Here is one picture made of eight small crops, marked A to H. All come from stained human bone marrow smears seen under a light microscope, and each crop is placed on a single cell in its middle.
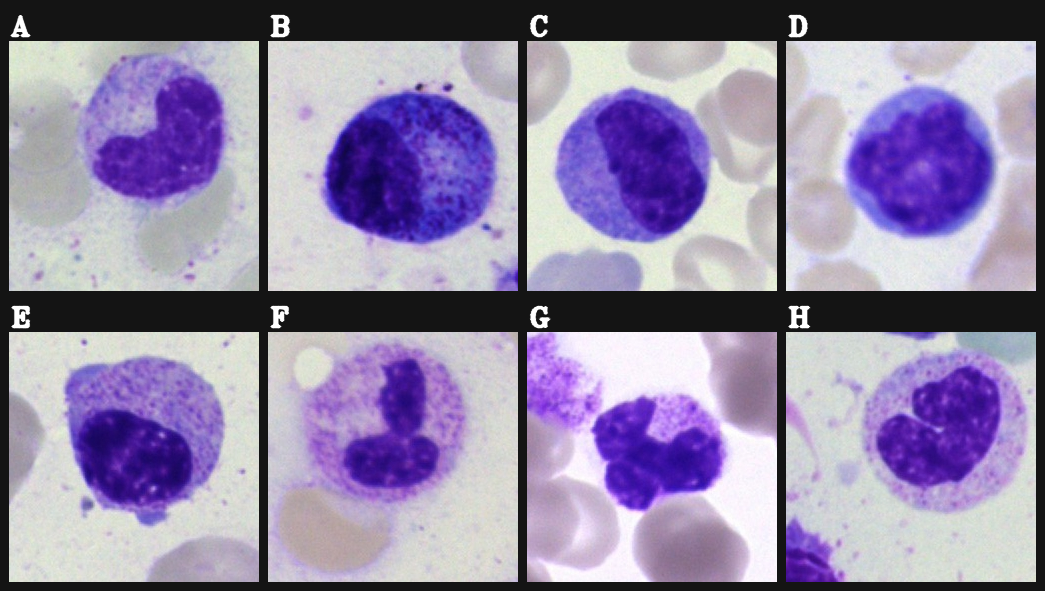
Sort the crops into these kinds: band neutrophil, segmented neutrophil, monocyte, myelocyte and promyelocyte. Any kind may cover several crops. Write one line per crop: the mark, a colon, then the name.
A: band neutrophil
B: promyelocyte
C: monocyte
D: monocyte
E: myelocyte
F: segmented neutrophil
G: segmented neutrophil
H: band neutrophil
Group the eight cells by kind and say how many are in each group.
band neutrophil: 2
monocyte: 2
segmented neutrophil: 2
promyelocyte: 1
myelocyte: 1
